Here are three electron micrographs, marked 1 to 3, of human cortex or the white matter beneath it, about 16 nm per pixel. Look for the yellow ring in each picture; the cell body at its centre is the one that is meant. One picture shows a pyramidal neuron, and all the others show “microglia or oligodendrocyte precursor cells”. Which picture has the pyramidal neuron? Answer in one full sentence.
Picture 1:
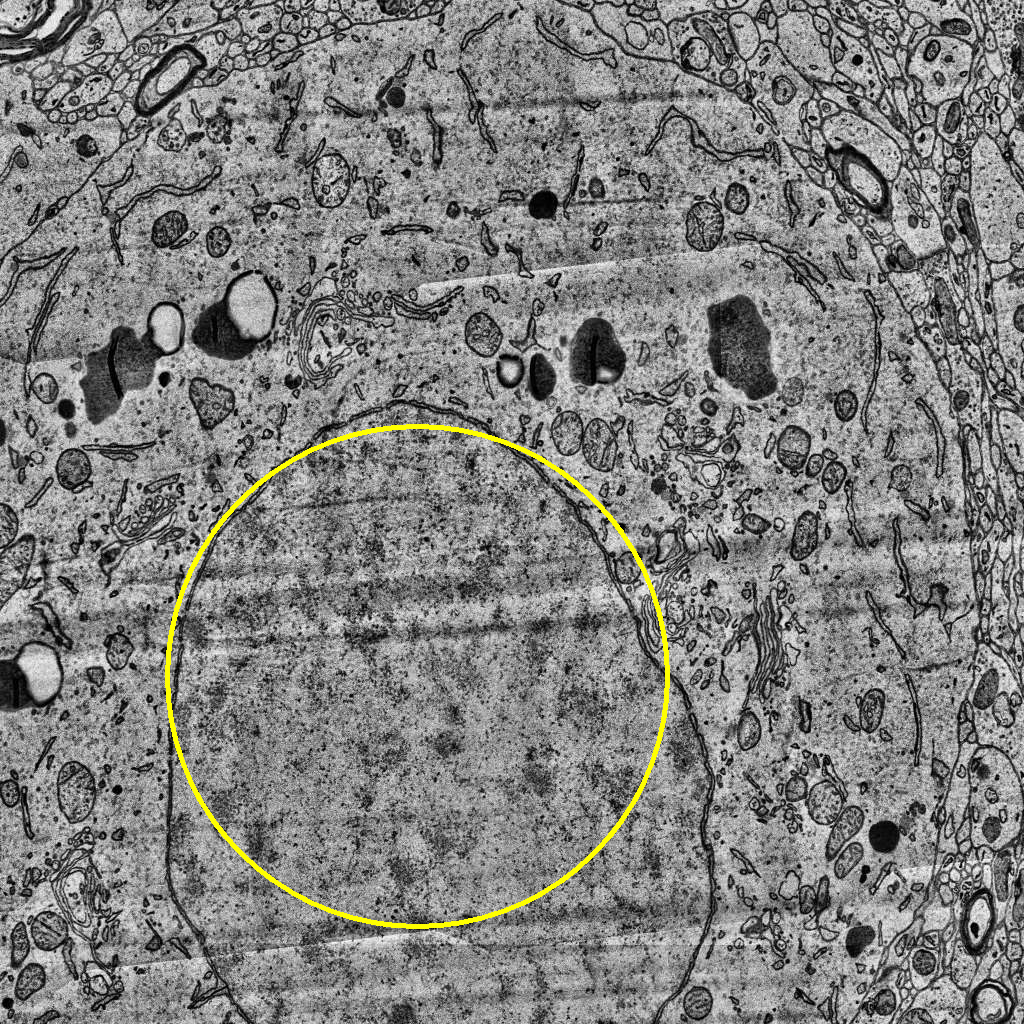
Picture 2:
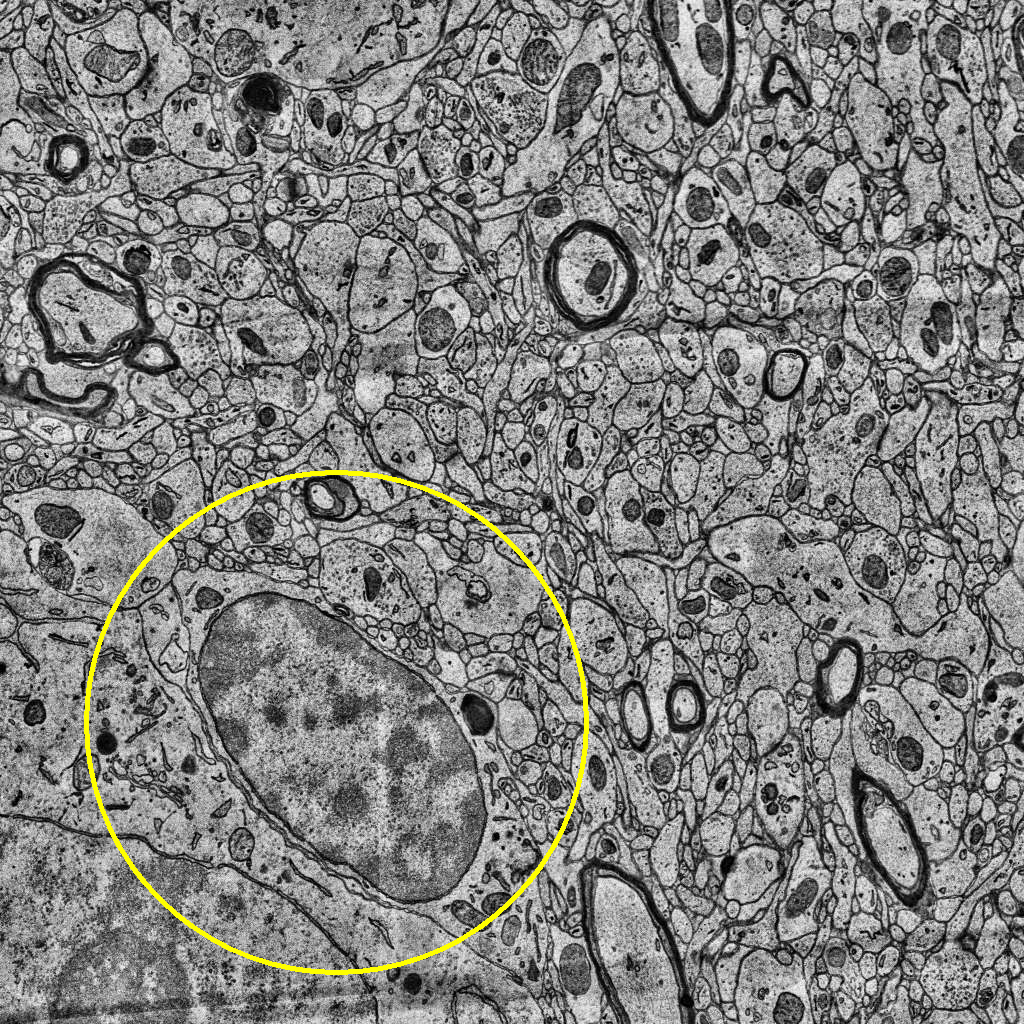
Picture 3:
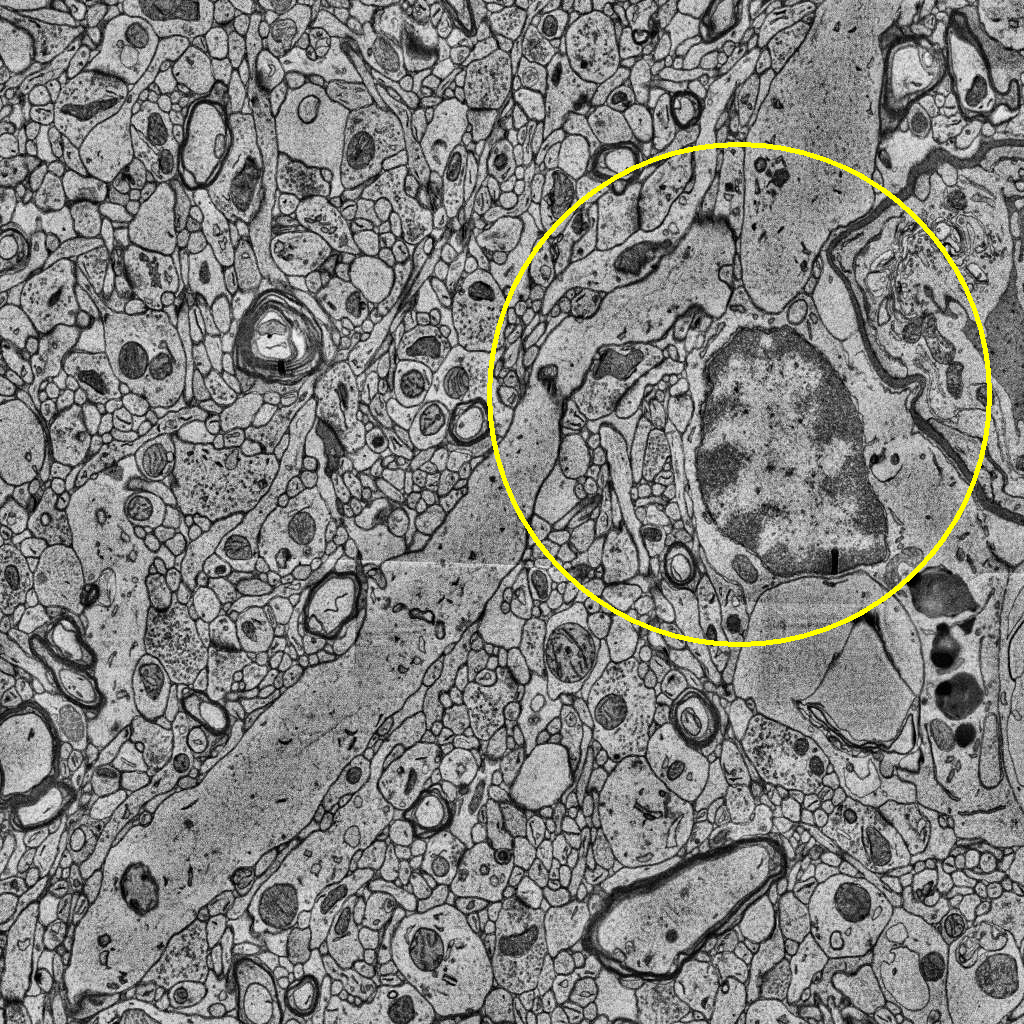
The cell in picture 1 is the pyramidal neuron.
